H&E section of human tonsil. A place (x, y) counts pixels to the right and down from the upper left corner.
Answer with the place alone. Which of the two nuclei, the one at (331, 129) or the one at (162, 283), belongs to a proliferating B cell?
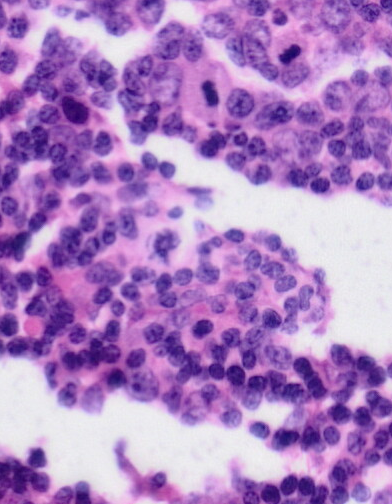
(331, 129)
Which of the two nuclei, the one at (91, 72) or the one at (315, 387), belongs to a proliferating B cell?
(91, 72)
